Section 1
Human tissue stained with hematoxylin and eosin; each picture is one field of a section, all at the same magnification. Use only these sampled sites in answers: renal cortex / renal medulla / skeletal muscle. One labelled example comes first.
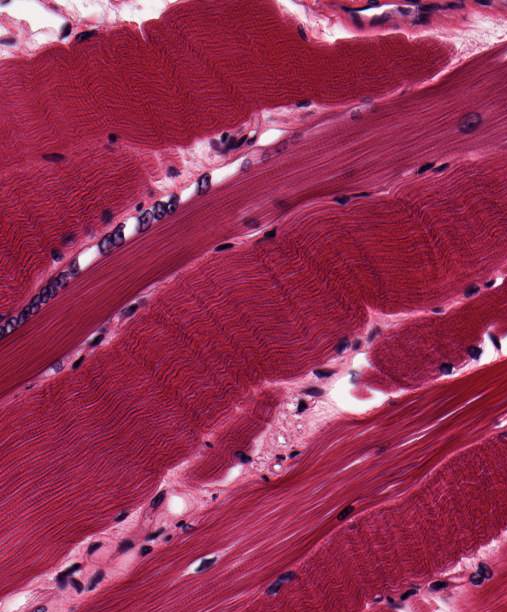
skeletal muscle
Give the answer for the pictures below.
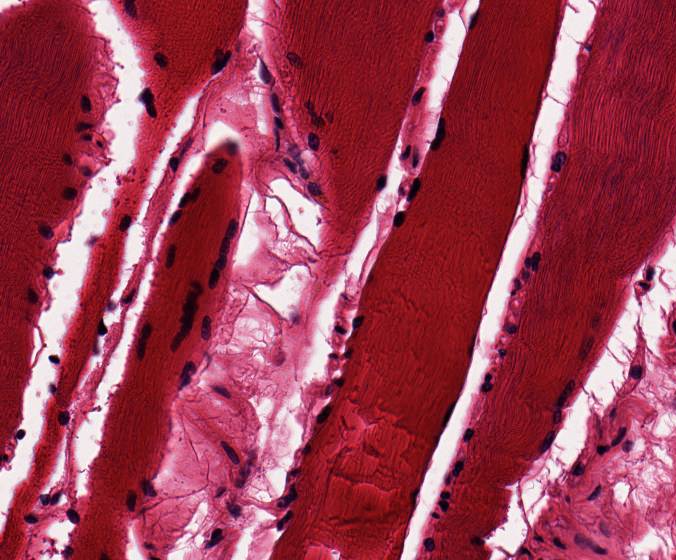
skeletal muscle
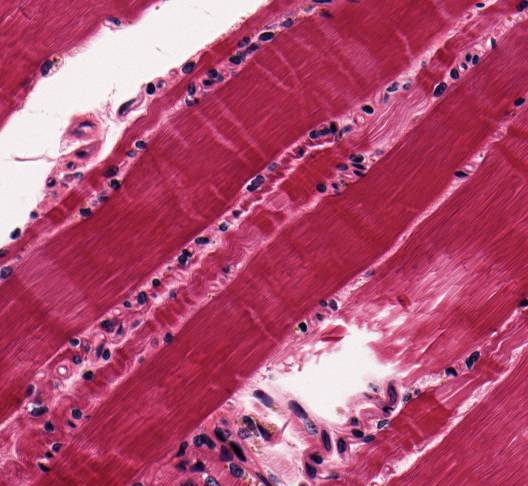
skeletal muscle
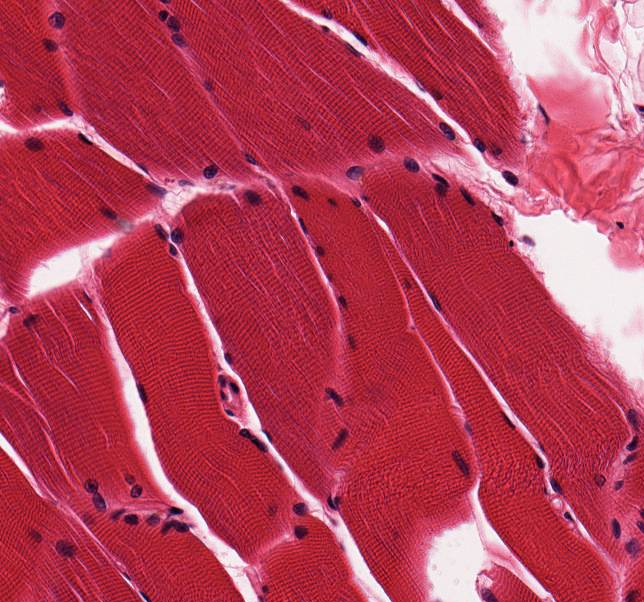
skeletal muscle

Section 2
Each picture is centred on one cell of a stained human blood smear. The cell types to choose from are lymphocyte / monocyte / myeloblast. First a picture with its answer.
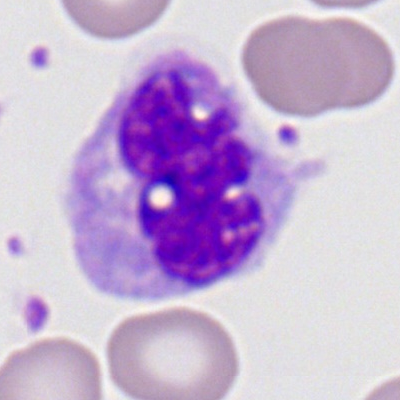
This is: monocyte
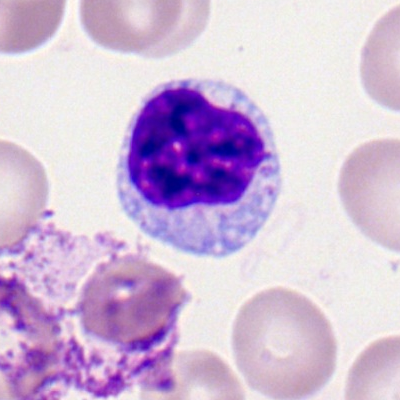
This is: lymphocyte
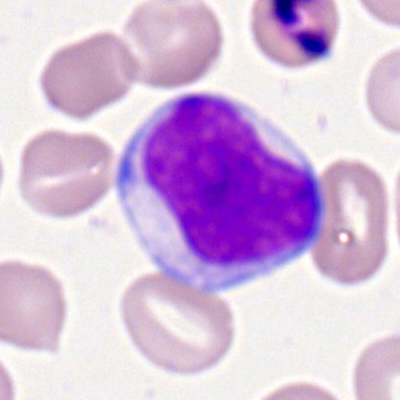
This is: myeloblast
